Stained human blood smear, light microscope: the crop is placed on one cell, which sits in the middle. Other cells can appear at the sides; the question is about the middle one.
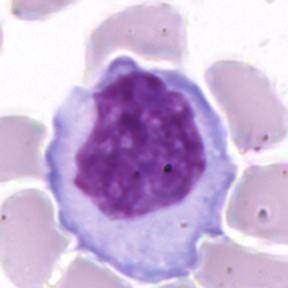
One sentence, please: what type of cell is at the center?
The cell in the middle of this crop is a plasma cell.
